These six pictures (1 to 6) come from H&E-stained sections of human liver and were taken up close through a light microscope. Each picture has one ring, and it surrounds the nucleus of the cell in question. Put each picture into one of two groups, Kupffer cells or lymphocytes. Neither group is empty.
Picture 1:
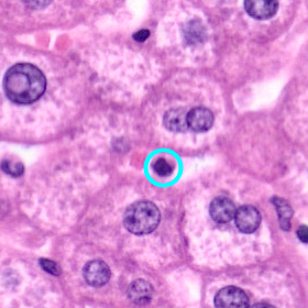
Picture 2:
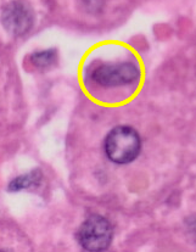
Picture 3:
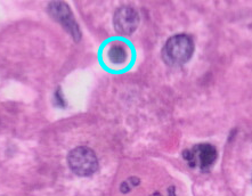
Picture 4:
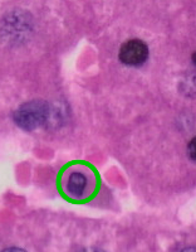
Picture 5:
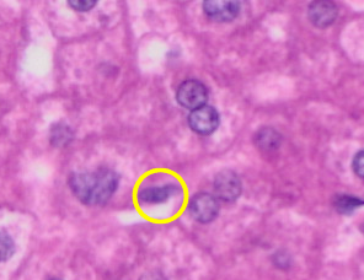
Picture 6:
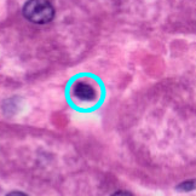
1: lymphocyte
2: Kupffer cell
3: lymphocyte
4: Kupffer cell
5: Kupffer cell
6: lymphocyte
